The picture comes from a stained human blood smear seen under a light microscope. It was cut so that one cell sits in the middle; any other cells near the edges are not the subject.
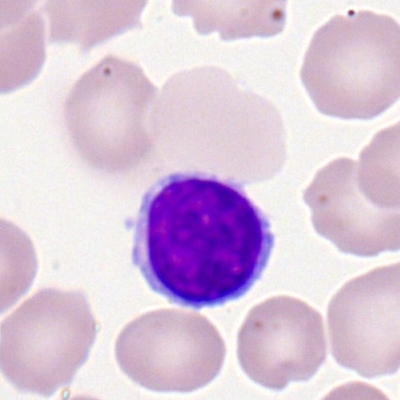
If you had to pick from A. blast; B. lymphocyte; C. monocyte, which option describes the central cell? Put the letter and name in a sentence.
Option B correctly names the cell in the middle as a lymphocyte.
